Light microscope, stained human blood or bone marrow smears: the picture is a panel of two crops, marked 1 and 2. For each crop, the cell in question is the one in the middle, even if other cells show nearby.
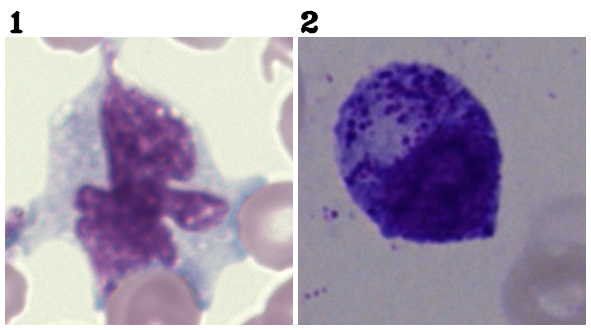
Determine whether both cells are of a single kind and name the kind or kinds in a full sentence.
No, on this set crop 1 shows a monocyte and crop 2 shows a promyelocyte.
